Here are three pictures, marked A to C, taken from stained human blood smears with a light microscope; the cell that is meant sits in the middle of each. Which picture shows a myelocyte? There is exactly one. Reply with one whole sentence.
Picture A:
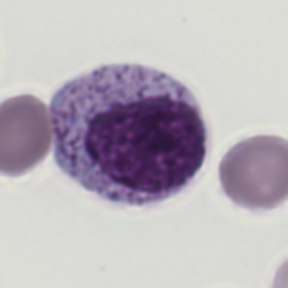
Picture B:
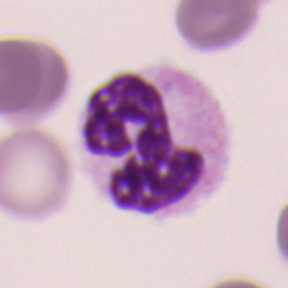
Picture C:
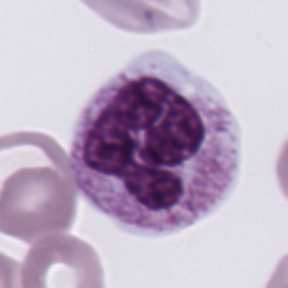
The picture with the myelocyte is A.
